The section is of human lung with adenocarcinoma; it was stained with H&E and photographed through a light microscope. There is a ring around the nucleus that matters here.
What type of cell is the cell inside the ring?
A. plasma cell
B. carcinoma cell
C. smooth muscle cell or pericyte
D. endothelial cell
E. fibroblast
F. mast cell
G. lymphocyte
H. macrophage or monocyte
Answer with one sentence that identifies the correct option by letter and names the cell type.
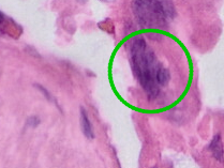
Here the cell inside the ring is a carcinoma cell, which makes option B correct.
